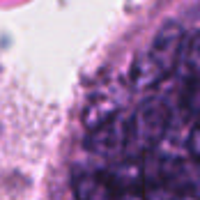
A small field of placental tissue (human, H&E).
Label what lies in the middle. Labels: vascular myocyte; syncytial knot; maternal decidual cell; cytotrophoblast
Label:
syncytial knot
